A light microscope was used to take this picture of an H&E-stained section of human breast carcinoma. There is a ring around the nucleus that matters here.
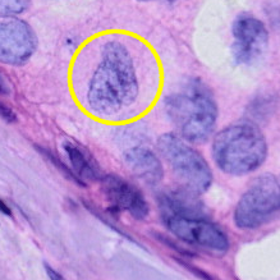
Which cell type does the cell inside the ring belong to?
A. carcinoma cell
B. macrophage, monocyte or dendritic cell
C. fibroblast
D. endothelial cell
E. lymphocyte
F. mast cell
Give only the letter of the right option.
A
